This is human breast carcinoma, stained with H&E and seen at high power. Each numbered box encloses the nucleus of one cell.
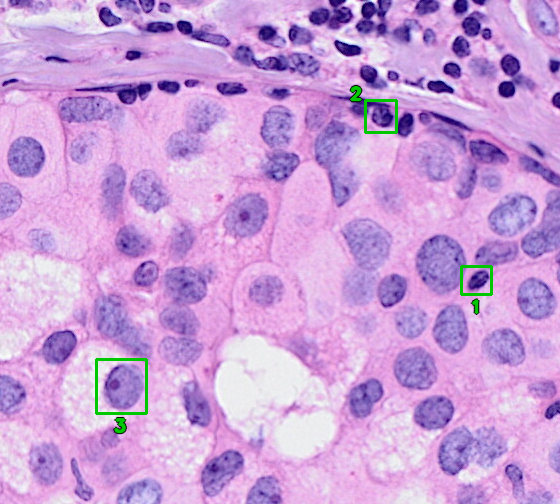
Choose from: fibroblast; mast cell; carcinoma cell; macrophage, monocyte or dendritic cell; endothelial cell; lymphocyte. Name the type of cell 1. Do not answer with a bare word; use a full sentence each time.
The cell given label 1 is a lymphocyte.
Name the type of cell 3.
The one numbered 3 among the marked cells is a carcinoma cell.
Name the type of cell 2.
In this section, number 2 marks a lymphocyte.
